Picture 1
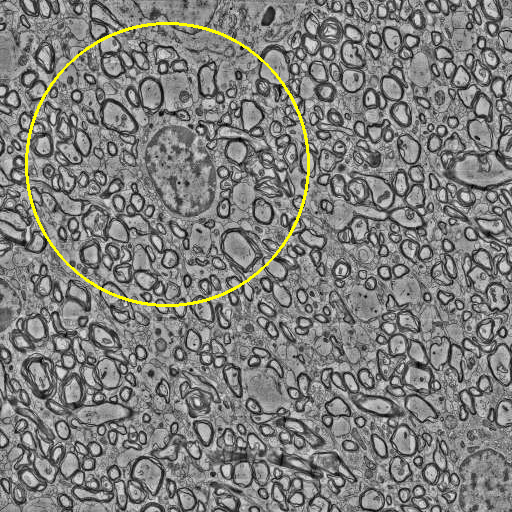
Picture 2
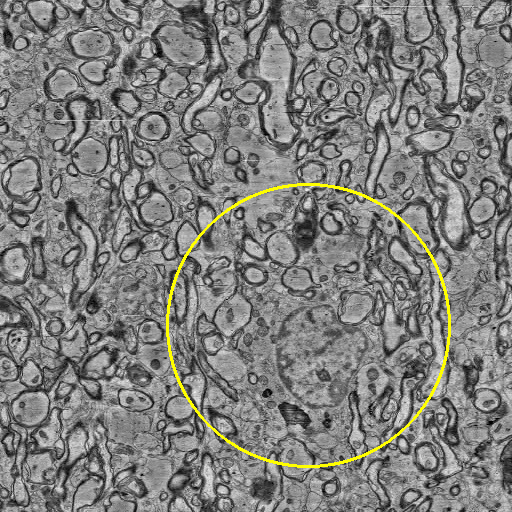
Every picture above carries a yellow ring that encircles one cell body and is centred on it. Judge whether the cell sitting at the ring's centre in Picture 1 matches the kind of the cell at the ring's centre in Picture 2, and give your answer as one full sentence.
Yes, the cells centred in the rings of Pictures 1 and 2 belong to one kind.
